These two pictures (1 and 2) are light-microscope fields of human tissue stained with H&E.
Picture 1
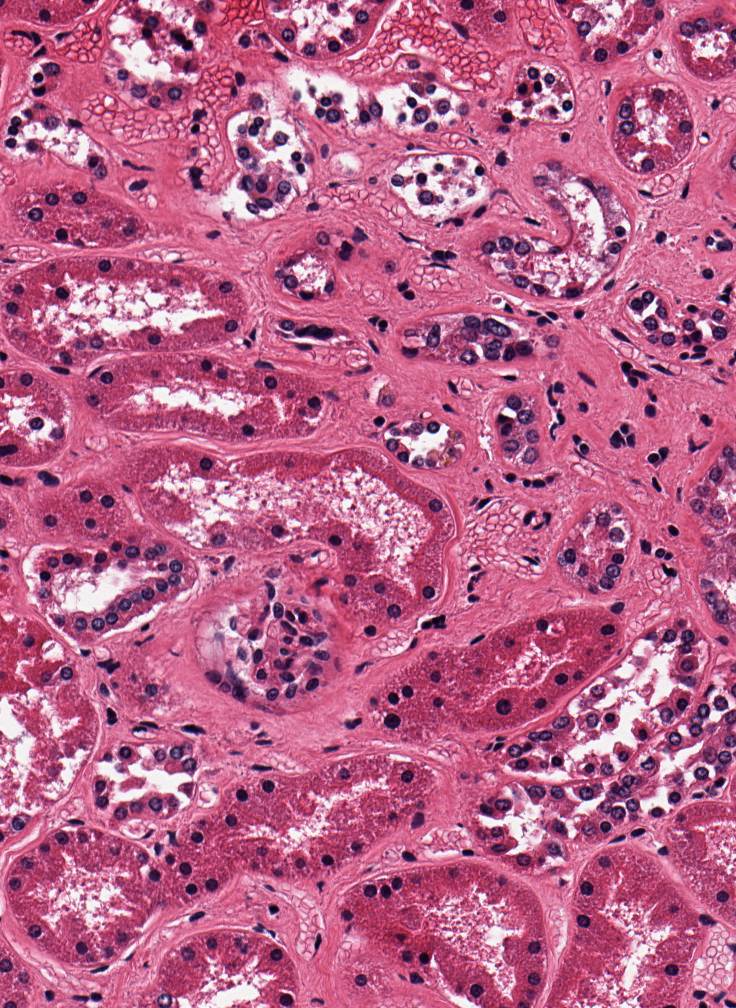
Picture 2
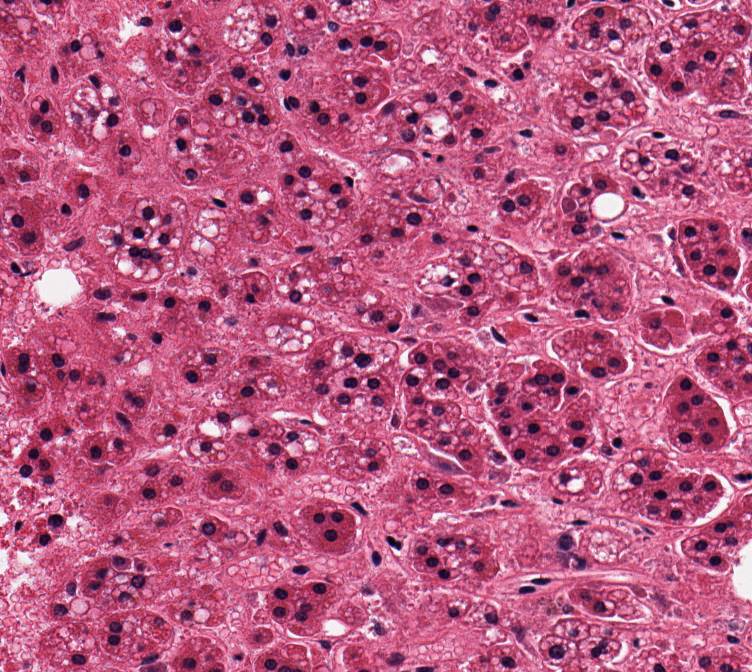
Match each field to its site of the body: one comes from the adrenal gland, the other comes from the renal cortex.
1: renal cortex
2: adrenal gland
